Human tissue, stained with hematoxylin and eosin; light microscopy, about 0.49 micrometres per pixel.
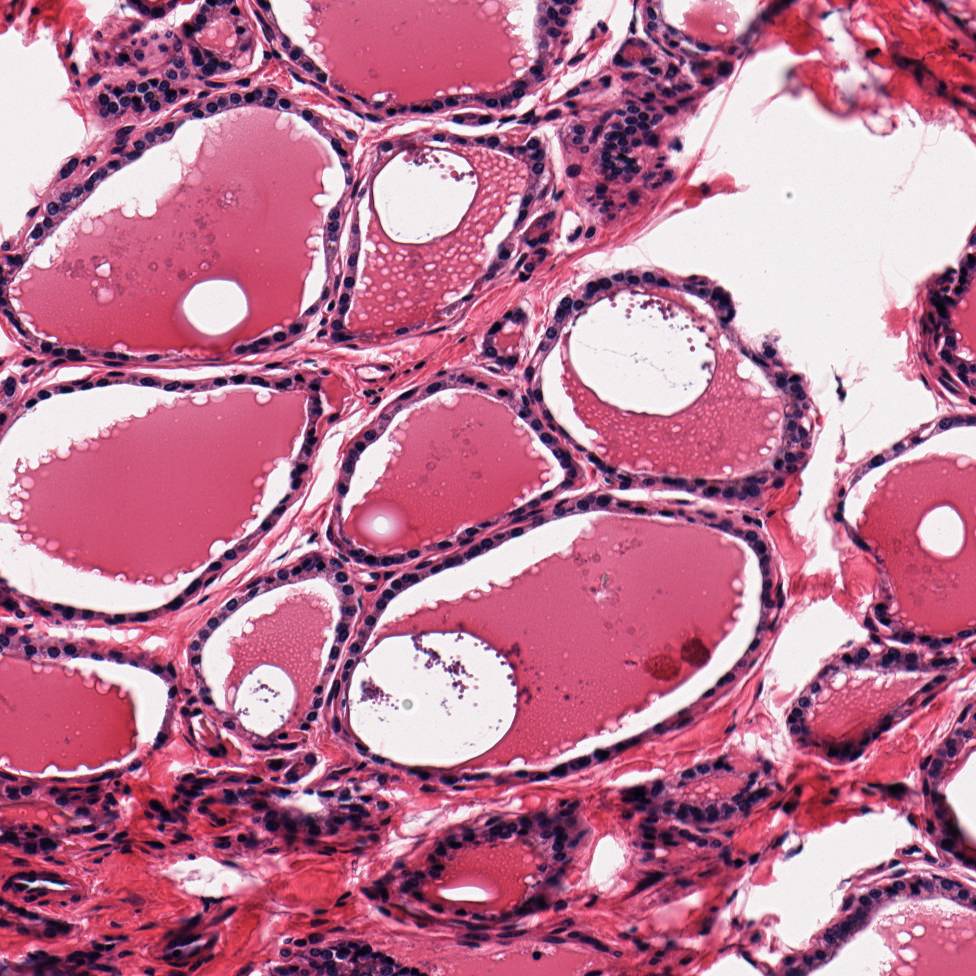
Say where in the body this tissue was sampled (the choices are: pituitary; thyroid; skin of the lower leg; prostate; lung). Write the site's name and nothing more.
thyroid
